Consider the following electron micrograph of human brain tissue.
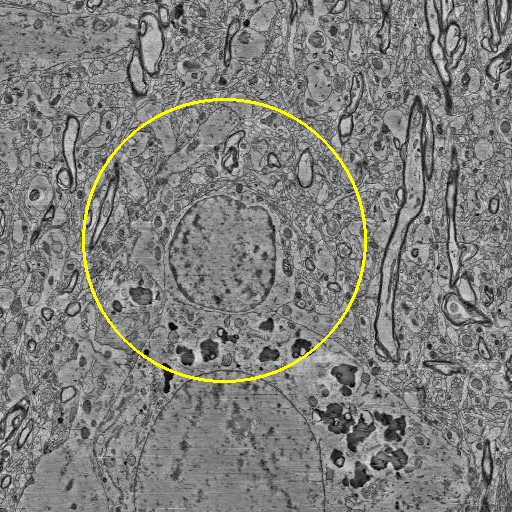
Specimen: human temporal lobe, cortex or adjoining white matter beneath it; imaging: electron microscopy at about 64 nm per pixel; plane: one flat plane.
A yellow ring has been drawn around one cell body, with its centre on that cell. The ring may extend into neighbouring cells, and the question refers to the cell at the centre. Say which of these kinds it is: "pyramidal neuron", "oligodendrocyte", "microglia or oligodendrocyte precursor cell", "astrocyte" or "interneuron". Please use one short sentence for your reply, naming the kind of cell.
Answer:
The centre of the ring falls on a microglial cell or oligodendrocyte precursor cell.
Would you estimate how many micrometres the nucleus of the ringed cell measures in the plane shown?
In this plane, the nucleus of the cell at the centre of the ring is about 7 micrometres across.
